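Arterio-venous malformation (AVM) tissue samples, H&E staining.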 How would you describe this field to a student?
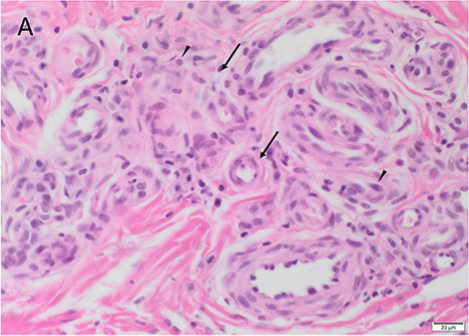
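A tangle of closely packed blood vessels cut mostly in cross-section fills the field, with lumina of many sizes, from narrow slits to wider oval spaces. The vessel walls vary in thickness; many show several concentric layers of elongated, spindle-shaped nuclei around a thin lining. Between the vessels lies a fibrous stroma with scattered oval and spindle nuclei set in pink fibrous material, and broader bands of dense pink collagen cross the lower left of the field. Nuclei are purple-blue and the fibres and cytoplasm pink.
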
